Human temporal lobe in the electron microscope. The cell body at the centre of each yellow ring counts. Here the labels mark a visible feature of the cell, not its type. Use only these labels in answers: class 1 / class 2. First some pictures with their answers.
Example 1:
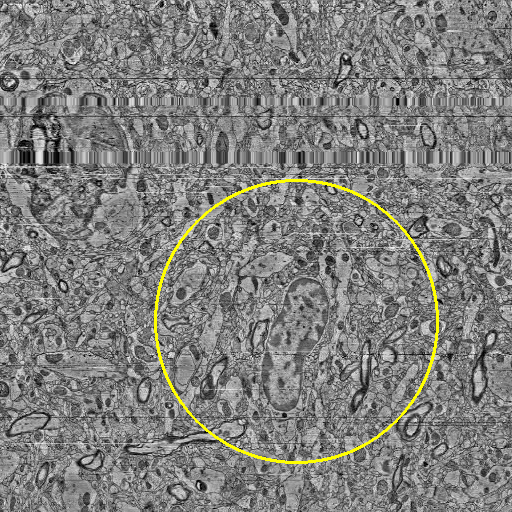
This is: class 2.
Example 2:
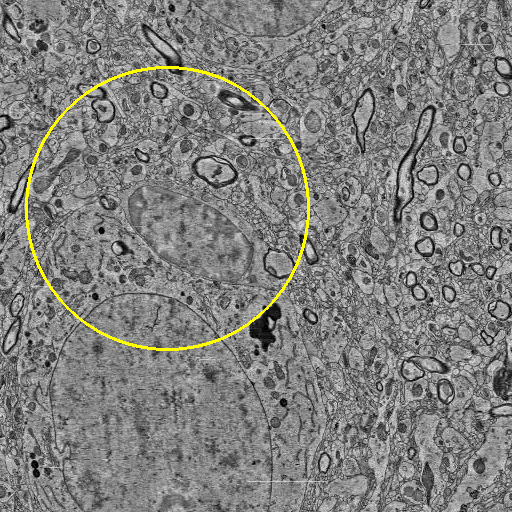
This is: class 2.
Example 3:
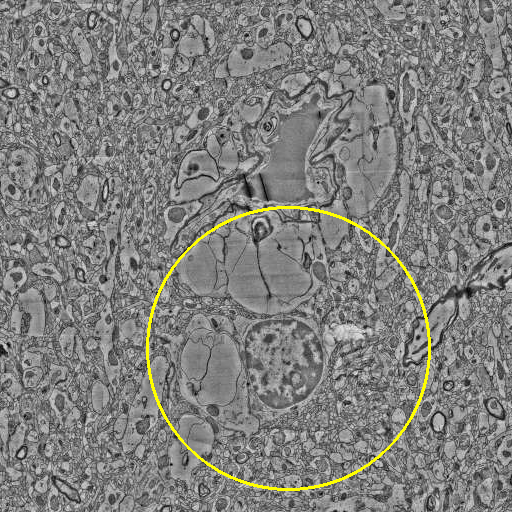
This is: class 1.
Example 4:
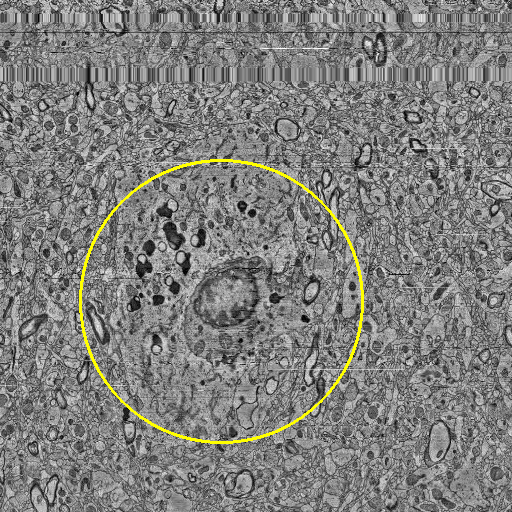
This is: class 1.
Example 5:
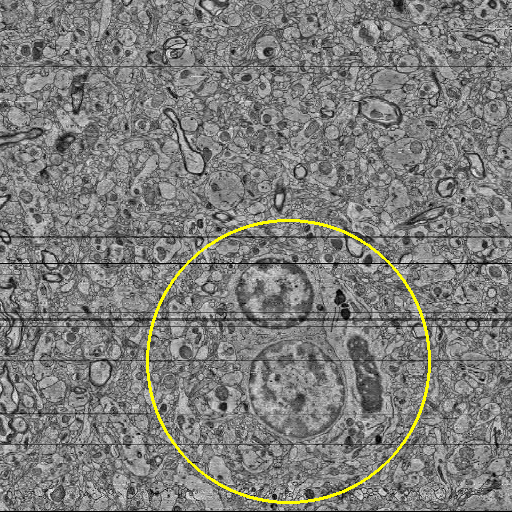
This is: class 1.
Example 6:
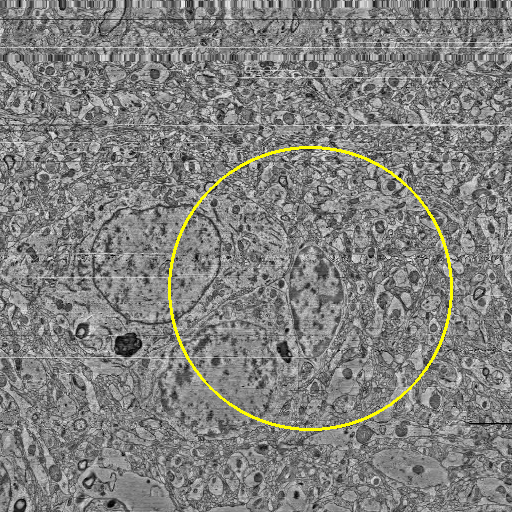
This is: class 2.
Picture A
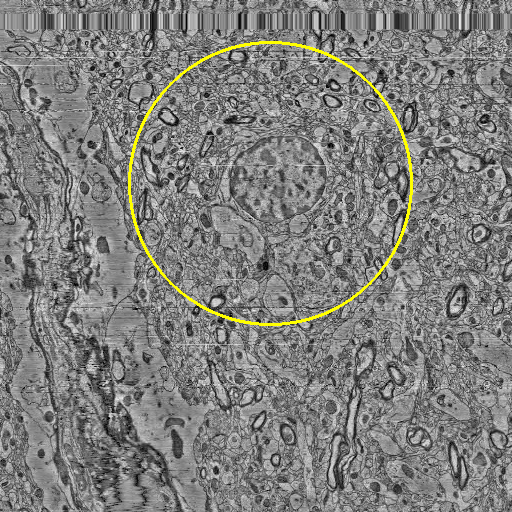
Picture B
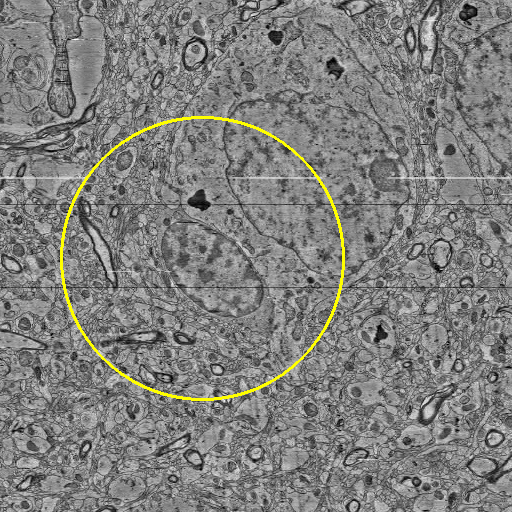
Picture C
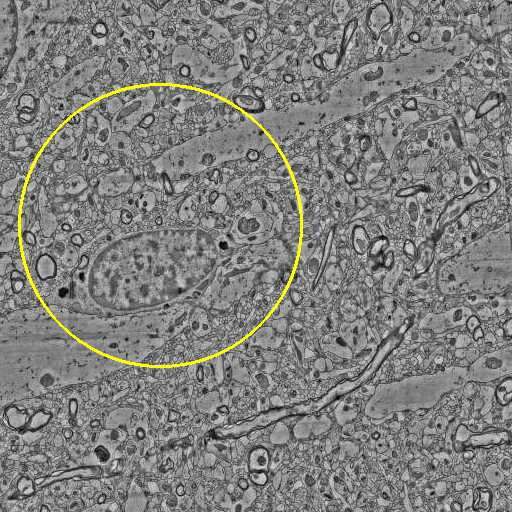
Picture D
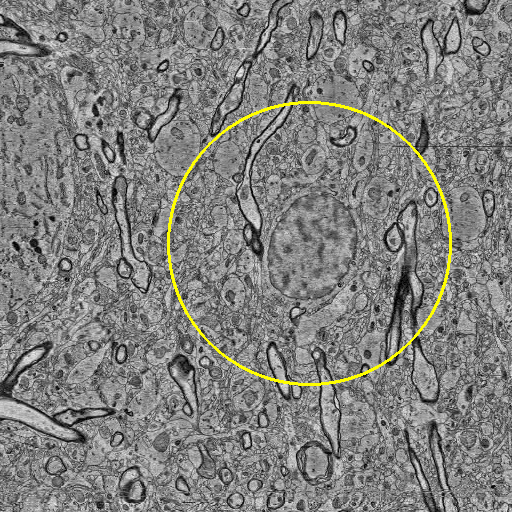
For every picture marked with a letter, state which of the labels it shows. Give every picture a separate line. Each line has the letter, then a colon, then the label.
A: class 1.
B: class 2.
C: class 2.
D: class 1.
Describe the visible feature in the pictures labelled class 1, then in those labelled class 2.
Seen in class 1: round or nearly round nuclei; seen in class 2: clearly elongated nuclei.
